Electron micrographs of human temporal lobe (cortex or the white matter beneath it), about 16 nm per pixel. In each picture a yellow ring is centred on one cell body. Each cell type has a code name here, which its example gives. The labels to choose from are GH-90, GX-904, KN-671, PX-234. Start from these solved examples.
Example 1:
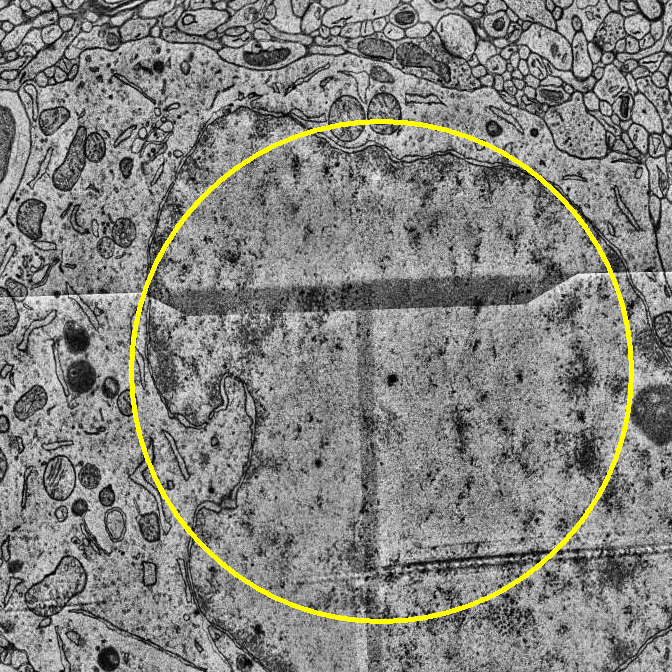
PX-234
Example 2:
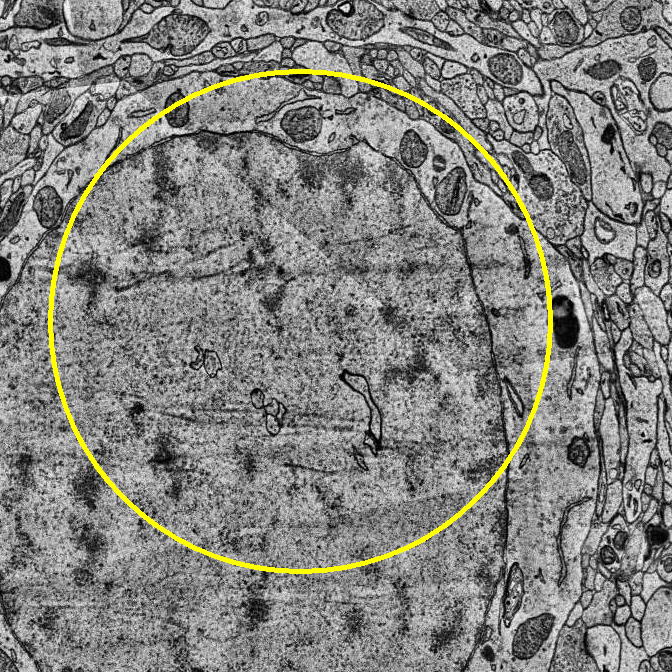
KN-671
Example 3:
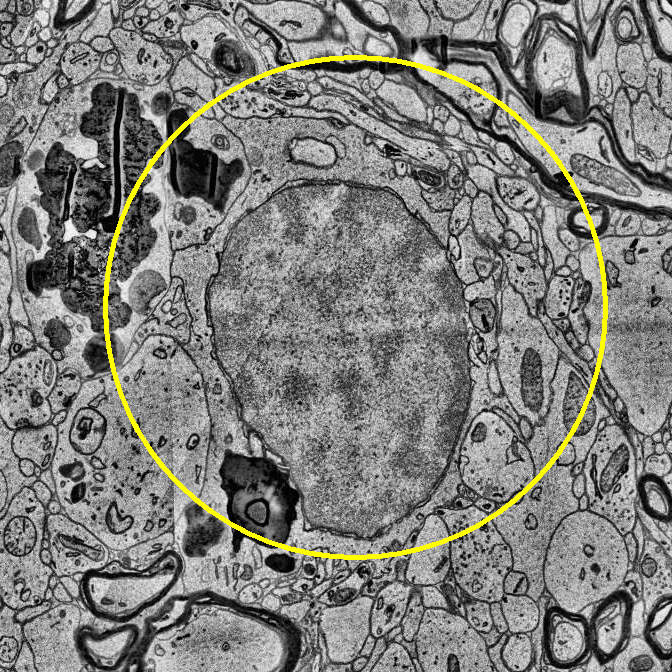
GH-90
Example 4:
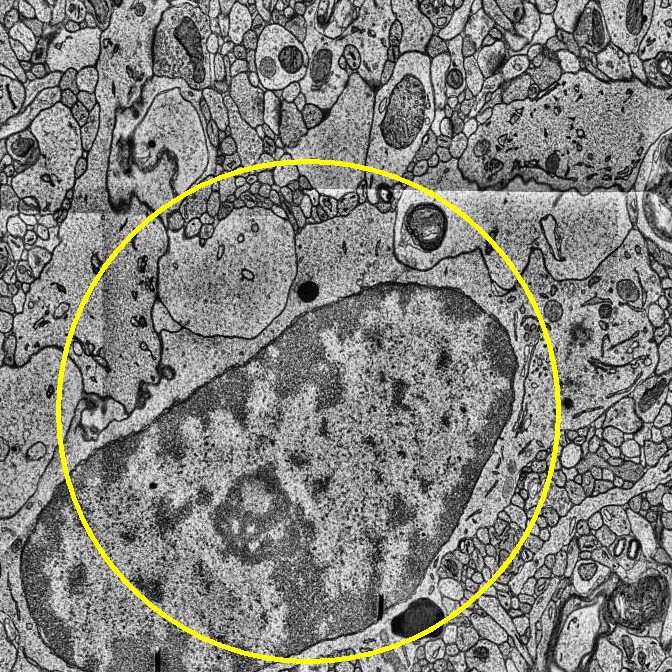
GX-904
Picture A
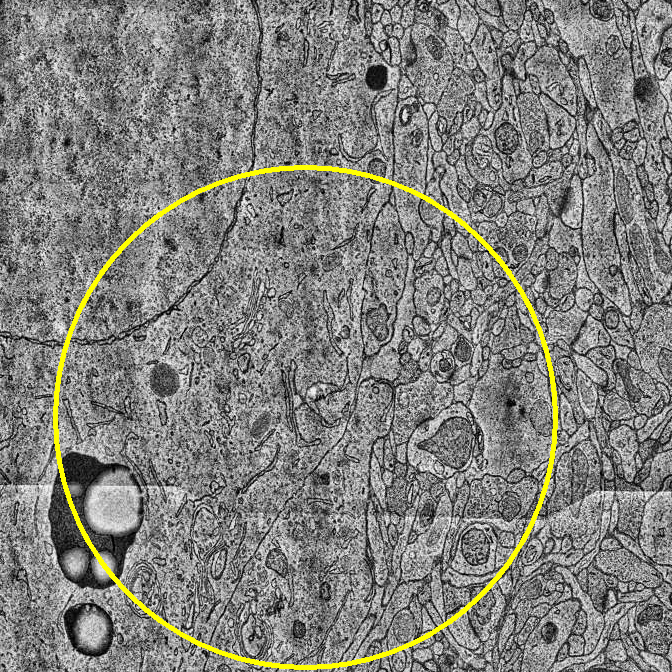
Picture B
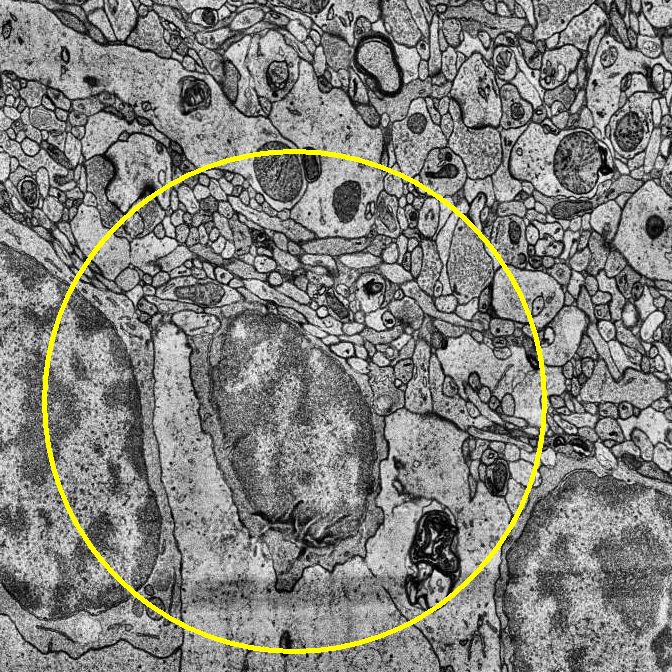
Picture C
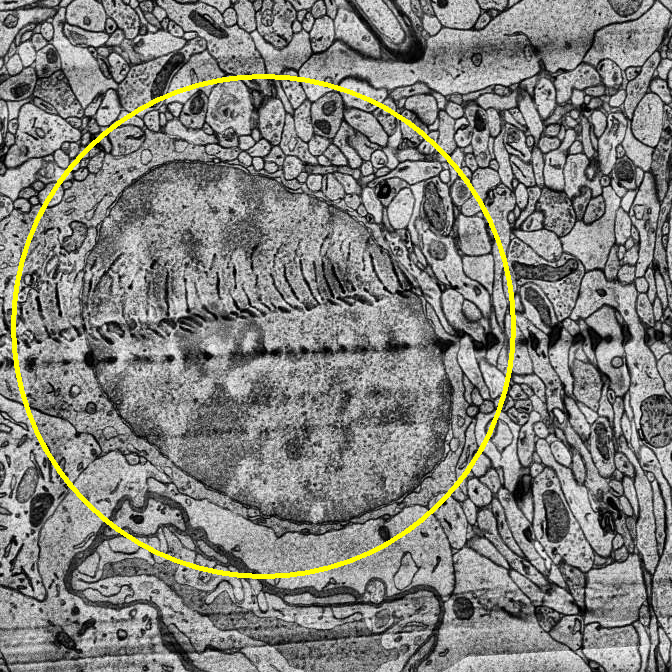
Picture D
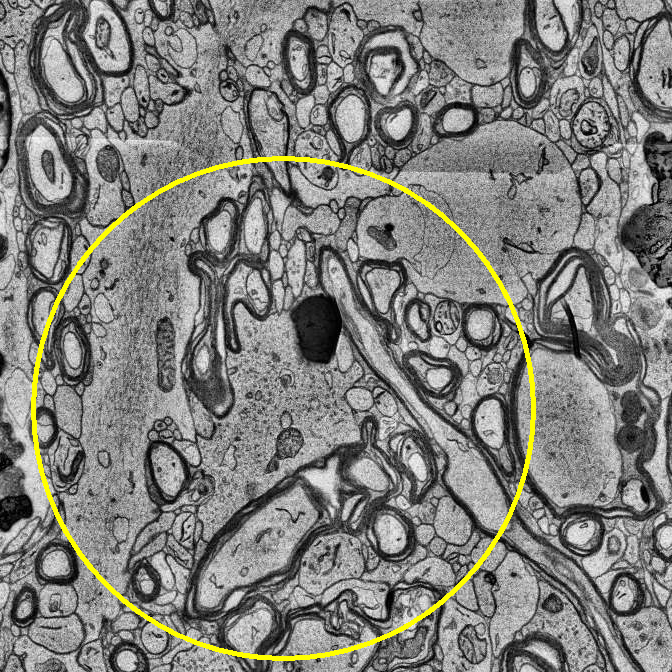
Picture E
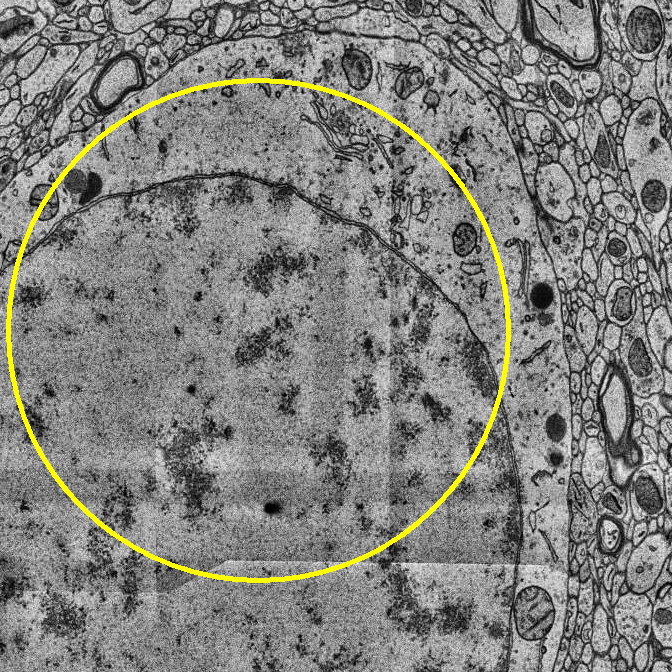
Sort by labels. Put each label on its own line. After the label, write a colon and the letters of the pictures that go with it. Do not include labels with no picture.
GH-90: B, C, D
KN-671: A, E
